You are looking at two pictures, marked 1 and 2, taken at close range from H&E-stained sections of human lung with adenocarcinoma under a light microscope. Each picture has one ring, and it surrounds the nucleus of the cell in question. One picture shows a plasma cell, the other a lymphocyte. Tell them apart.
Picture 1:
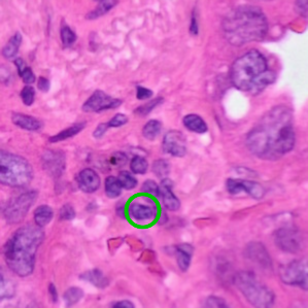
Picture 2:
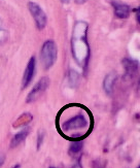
1: lymphocyte
2: plasma cell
